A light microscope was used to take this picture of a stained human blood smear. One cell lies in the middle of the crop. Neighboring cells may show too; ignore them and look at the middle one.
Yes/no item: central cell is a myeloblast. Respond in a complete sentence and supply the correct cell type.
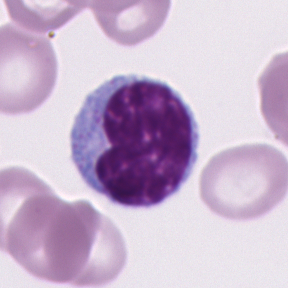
No, this is not a myeloblast at all; the cell in the middle is a typical lymphocyte.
